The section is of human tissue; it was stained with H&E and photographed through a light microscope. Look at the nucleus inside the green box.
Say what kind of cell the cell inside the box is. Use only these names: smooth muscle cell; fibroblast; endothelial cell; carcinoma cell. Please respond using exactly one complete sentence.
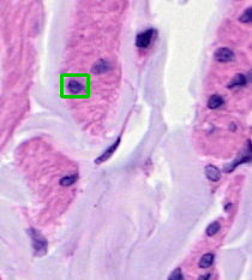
In the tissue under study, the cell inside the box is a smooth muscle cell.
